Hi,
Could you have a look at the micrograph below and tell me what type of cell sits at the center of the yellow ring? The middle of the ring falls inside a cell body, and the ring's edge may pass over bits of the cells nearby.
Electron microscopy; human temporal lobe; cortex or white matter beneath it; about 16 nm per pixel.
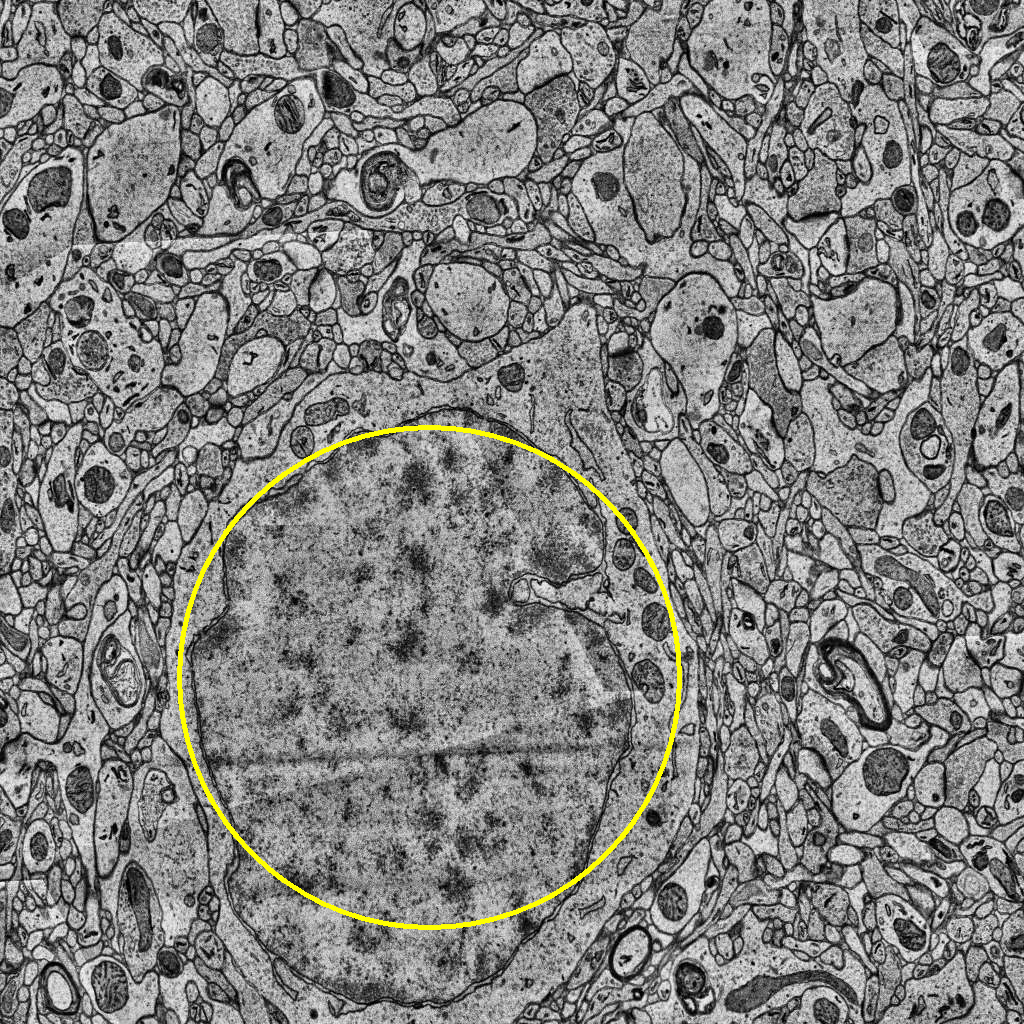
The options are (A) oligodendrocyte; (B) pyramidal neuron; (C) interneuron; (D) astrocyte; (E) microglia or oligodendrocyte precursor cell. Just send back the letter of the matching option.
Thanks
C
